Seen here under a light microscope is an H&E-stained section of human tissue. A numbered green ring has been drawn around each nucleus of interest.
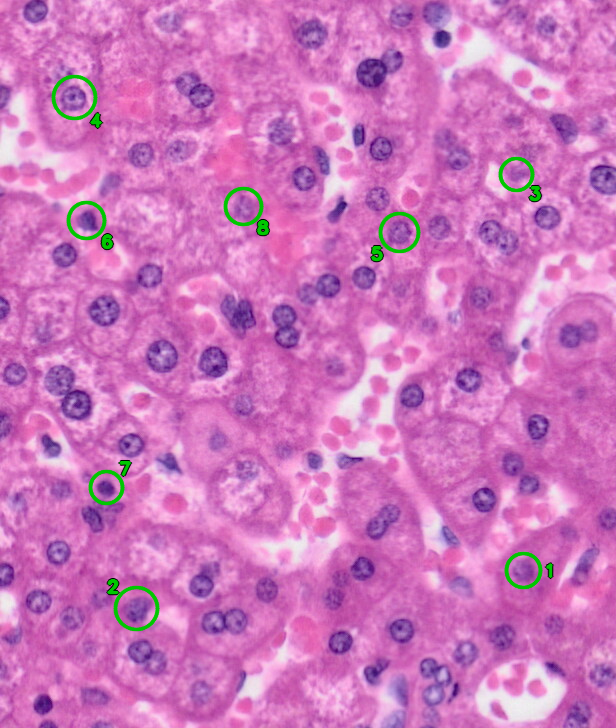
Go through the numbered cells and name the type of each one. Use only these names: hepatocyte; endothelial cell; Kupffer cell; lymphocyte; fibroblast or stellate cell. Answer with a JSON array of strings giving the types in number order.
["hepatocyte", "endothelial cell", "hepatocyte", "hepatocyte", "hepatocyte", "fibroblast or stellate cell", "lymphocyte", "hepatocyte"]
